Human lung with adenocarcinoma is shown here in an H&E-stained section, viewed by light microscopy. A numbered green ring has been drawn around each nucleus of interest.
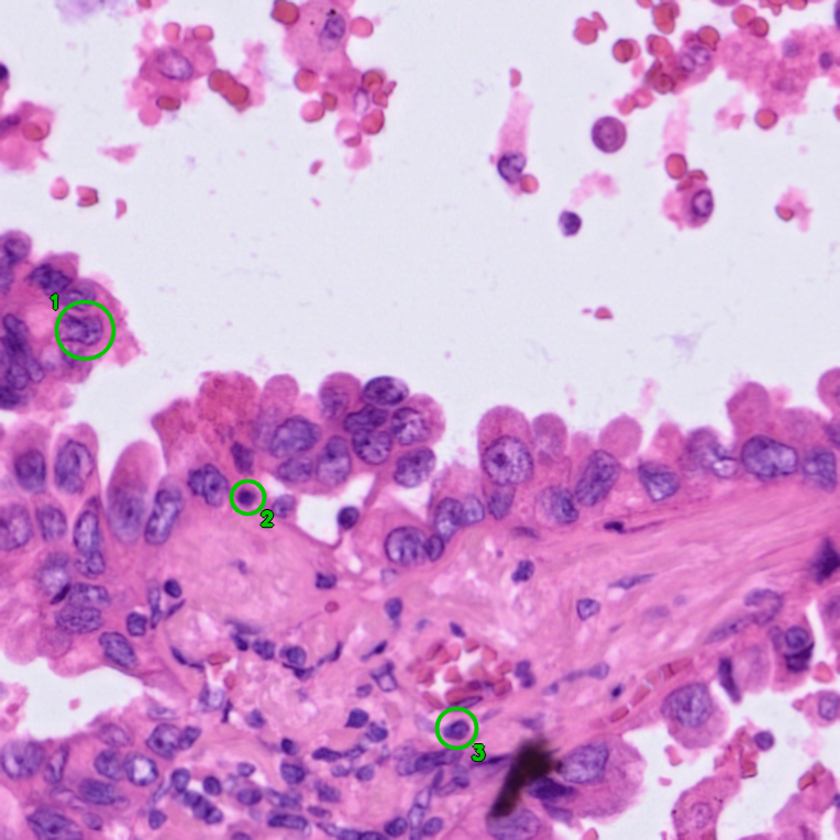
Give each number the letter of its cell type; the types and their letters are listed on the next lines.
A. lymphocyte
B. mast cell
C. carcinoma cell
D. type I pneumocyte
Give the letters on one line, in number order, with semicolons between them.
C; A; A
